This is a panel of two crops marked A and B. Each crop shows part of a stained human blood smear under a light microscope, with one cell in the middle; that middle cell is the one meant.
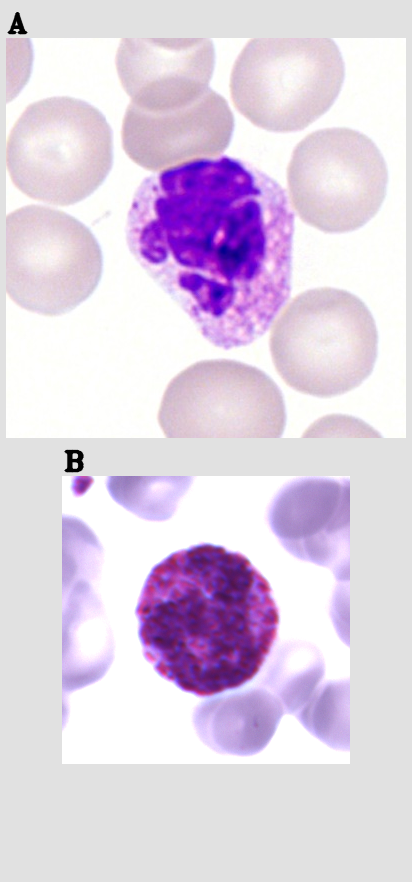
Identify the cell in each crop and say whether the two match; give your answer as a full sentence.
Yes, both crops show basophils, the one and the other.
